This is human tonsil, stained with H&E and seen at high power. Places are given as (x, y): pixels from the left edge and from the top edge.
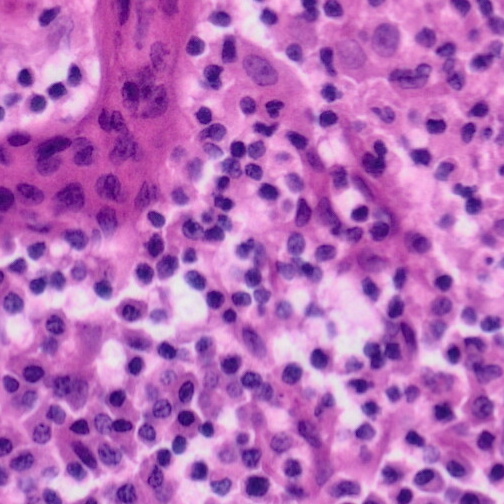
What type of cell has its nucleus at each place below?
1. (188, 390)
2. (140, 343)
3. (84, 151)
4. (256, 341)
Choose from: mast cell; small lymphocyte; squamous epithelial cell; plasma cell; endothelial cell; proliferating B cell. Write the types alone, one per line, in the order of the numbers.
plasma cell
plasma cell
squamous epithelial cell
squamous epithelial cell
